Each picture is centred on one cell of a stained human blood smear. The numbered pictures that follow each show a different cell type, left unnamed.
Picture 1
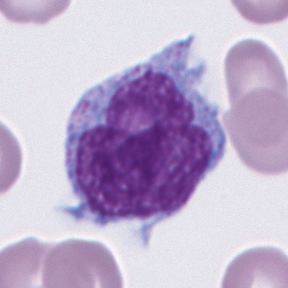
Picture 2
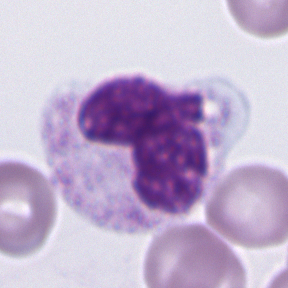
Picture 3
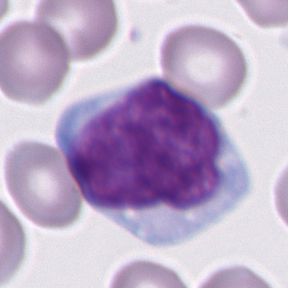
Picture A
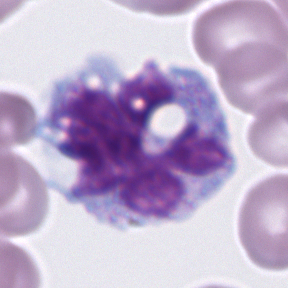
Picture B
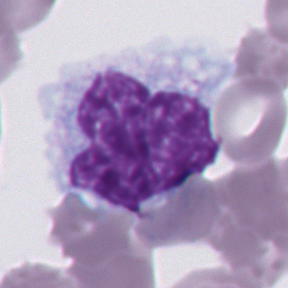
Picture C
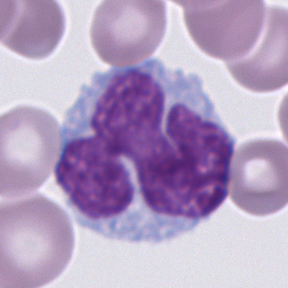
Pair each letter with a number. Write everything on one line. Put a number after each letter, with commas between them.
A 1, B 1, C 1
